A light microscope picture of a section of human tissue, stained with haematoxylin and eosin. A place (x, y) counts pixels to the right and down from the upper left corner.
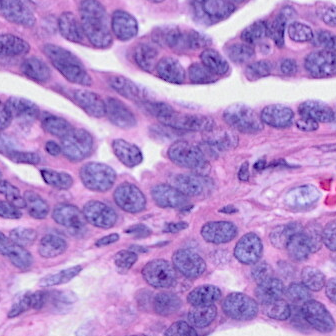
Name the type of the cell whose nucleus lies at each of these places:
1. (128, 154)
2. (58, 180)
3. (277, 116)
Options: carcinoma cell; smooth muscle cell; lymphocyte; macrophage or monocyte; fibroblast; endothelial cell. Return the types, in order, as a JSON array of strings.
["macrophage or monocyte", "macrophage or monocyte", "carcinoma cell"]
